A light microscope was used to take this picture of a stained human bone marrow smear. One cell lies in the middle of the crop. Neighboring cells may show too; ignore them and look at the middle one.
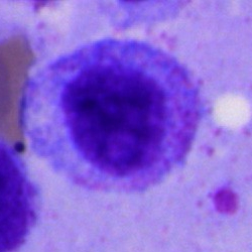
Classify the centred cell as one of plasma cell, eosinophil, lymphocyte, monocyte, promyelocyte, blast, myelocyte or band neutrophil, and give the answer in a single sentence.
The cell at the centre of the field is a promyelocyte.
